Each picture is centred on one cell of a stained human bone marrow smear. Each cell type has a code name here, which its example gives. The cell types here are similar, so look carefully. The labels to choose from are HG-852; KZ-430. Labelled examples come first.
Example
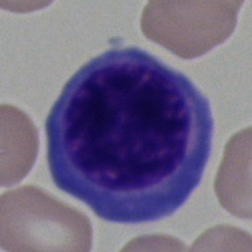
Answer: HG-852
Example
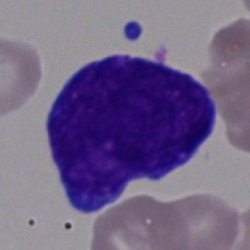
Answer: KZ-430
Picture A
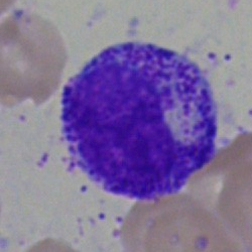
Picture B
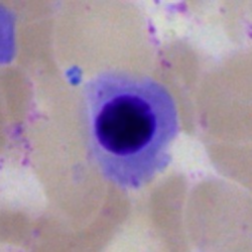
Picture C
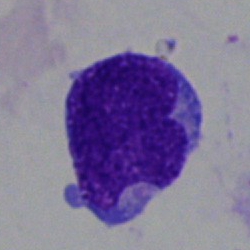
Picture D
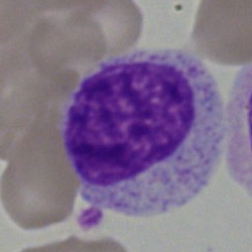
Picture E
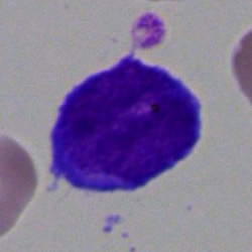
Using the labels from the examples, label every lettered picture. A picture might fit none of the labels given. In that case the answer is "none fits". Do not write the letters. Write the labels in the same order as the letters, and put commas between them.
none fits, HG-852, KZ-430, none fits, KZ-430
